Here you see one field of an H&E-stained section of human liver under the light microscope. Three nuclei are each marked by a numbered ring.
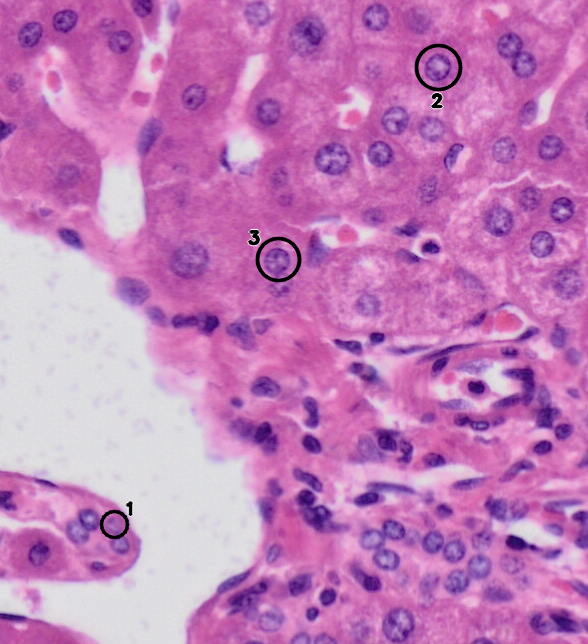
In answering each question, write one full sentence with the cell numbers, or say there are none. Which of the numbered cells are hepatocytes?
The cells picked out by numbers 2 and 3 are hepatocytes.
